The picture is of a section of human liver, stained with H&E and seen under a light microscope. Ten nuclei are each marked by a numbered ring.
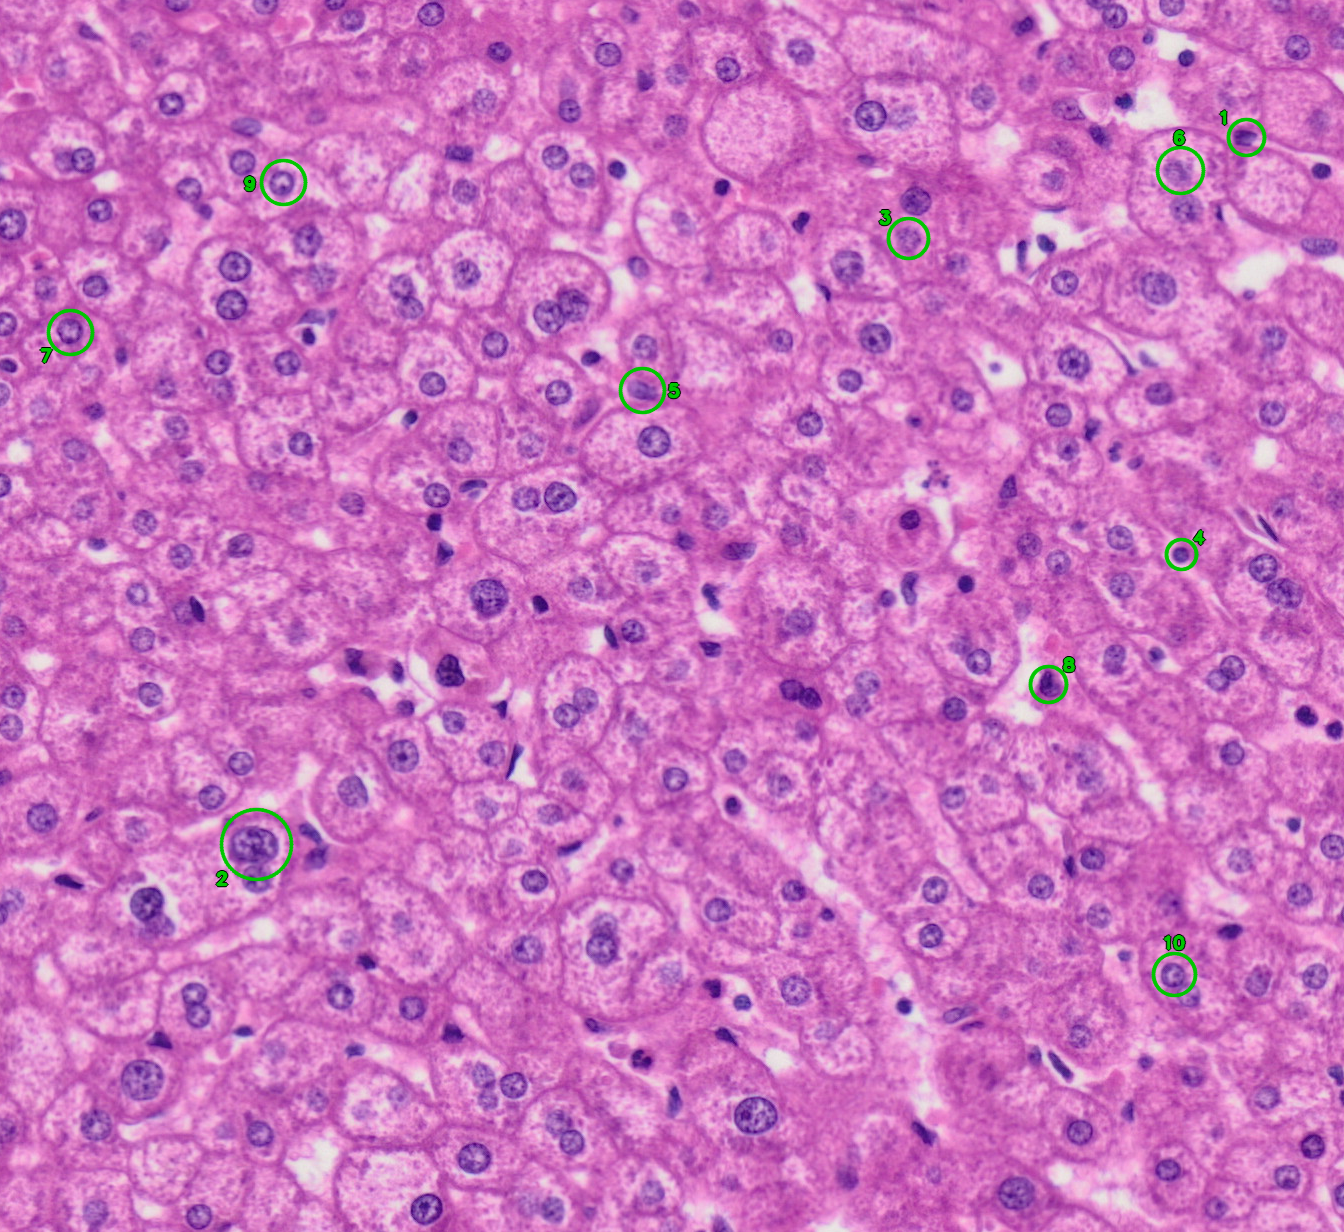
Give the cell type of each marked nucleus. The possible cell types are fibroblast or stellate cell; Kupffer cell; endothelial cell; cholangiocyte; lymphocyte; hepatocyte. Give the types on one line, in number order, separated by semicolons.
endothelial cell; hepatocyte; hepatocyte; lymphocyte; endothelial cell; hepatocyte; hepatocyte; Kupffer cell; hepatocyte; hepatocyte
